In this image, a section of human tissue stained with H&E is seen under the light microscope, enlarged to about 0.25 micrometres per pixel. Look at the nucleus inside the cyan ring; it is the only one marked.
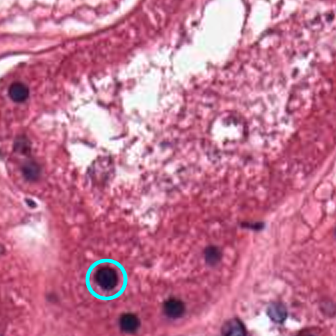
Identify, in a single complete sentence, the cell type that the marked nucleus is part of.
It is a proximal tubule cell that the marked nucleus belongs to.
